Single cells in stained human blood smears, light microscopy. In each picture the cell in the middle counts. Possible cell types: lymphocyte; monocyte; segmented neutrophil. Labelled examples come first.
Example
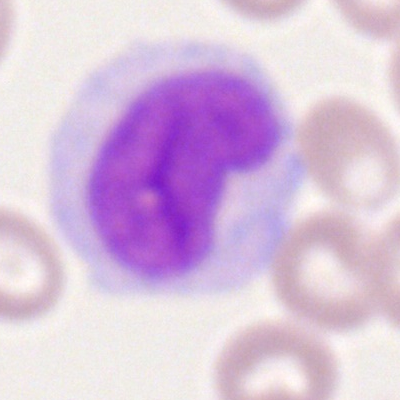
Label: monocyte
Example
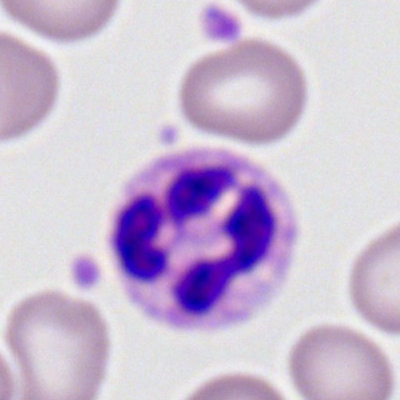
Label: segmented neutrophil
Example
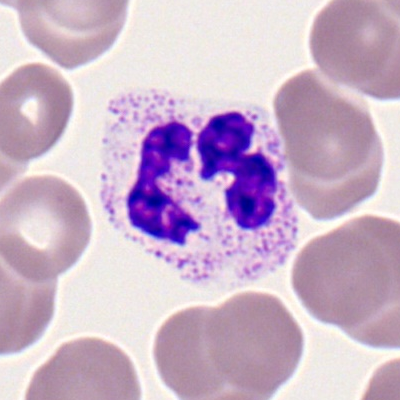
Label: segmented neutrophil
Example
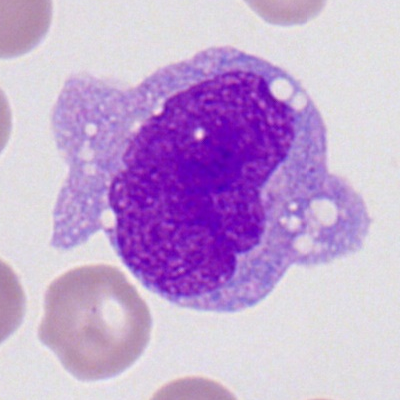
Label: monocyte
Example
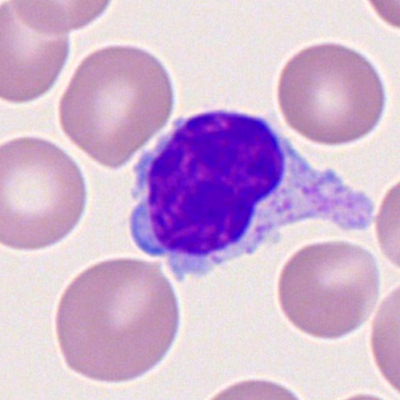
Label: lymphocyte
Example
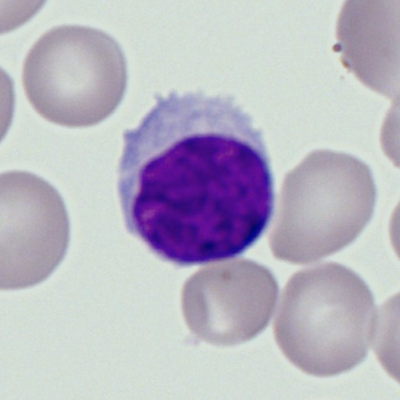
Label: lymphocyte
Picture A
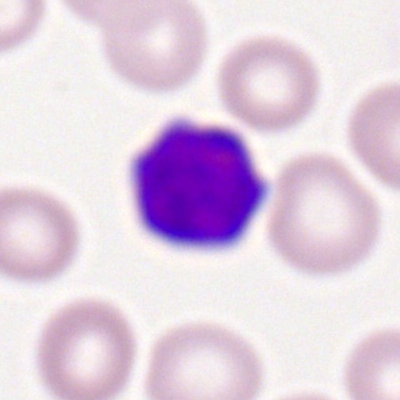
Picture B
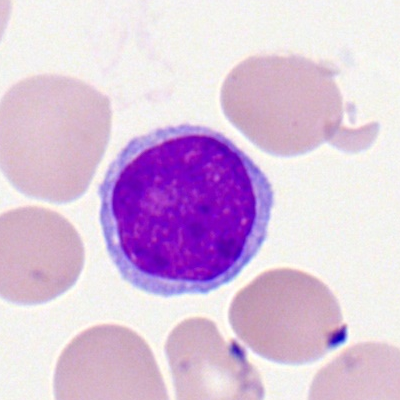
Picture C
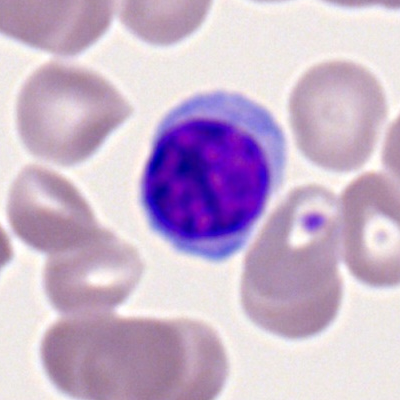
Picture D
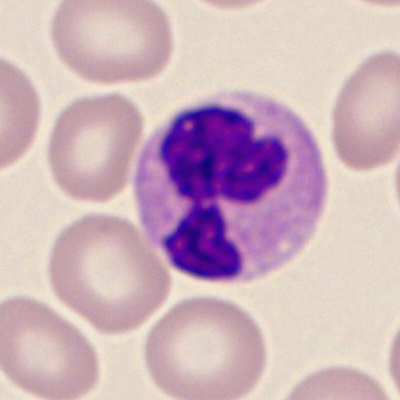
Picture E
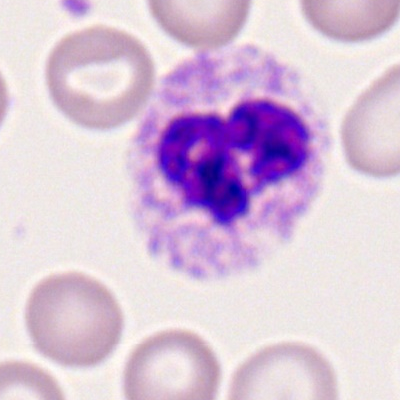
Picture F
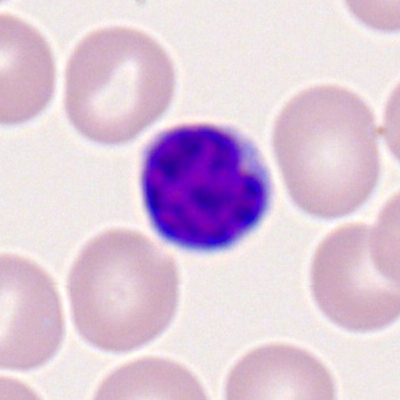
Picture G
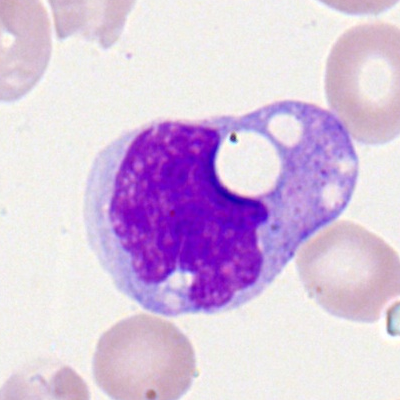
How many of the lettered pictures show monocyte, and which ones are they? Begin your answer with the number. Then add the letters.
Count: 1 (G)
